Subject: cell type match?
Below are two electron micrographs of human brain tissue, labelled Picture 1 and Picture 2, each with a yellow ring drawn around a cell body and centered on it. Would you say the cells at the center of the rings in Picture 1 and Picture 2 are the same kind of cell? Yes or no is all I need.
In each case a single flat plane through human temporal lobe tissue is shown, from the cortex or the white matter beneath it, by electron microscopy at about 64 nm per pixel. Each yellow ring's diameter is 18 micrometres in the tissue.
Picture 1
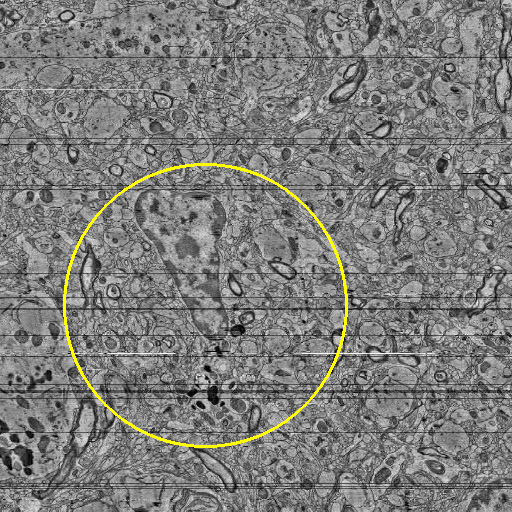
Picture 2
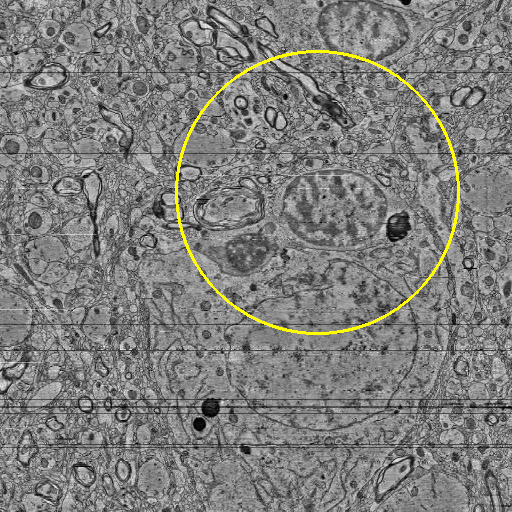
no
